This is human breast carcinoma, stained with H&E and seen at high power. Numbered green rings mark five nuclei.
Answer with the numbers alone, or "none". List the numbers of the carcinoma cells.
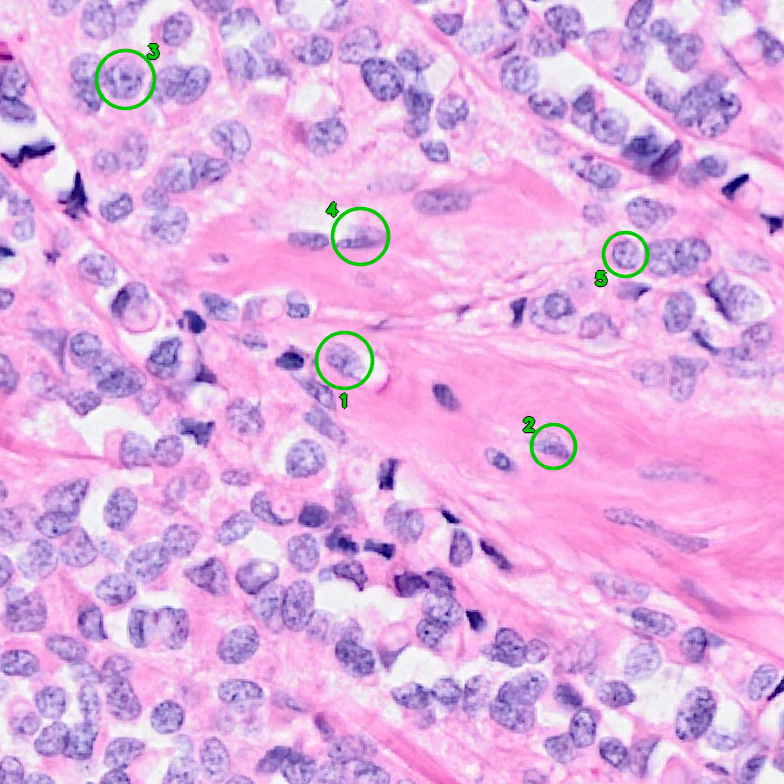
3, 5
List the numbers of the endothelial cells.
1, 4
